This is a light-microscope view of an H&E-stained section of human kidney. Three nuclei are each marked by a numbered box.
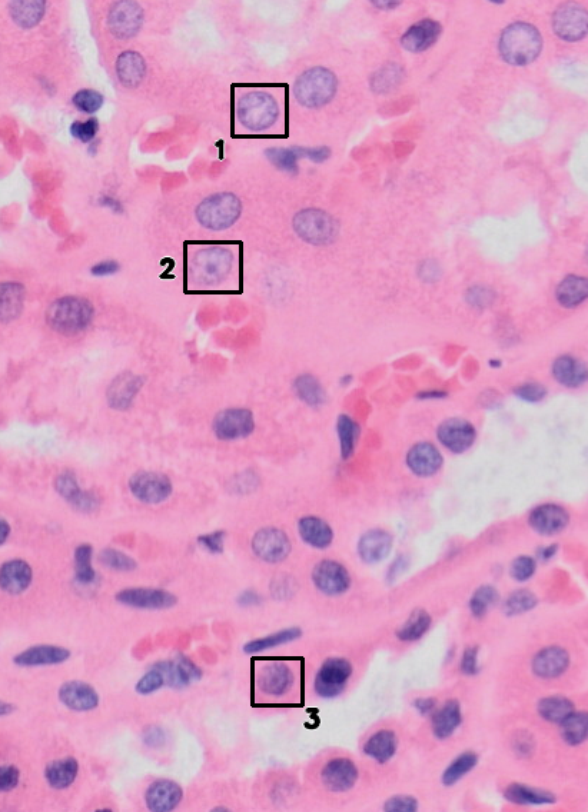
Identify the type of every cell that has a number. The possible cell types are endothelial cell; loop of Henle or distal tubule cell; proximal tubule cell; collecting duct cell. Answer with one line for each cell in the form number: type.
1: proximal tubule cell
2: proximal tubule cell
3: loop of Henle or distal tubule cell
